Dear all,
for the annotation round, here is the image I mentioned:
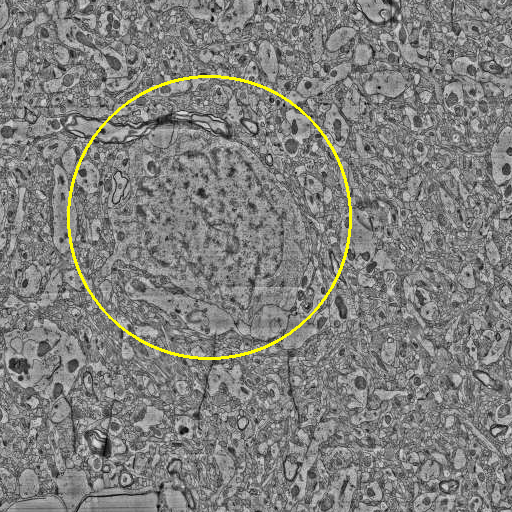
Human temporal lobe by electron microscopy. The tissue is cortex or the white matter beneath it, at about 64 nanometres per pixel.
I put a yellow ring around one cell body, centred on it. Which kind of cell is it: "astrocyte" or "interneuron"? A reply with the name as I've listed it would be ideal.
interneuron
